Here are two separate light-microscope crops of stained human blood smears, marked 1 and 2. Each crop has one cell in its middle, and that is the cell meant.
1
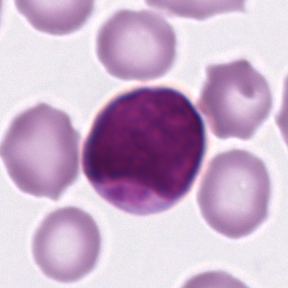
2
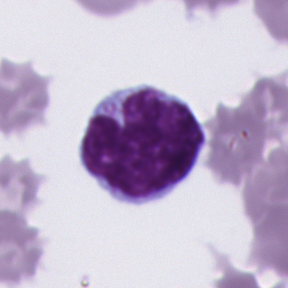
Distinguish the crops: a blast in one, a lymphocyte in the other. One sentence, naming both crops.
In this set, crop 1 shows a blast and crop 2 shows a lymphocyte.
